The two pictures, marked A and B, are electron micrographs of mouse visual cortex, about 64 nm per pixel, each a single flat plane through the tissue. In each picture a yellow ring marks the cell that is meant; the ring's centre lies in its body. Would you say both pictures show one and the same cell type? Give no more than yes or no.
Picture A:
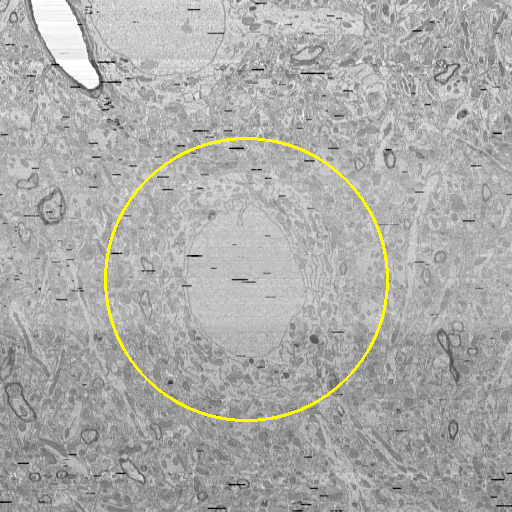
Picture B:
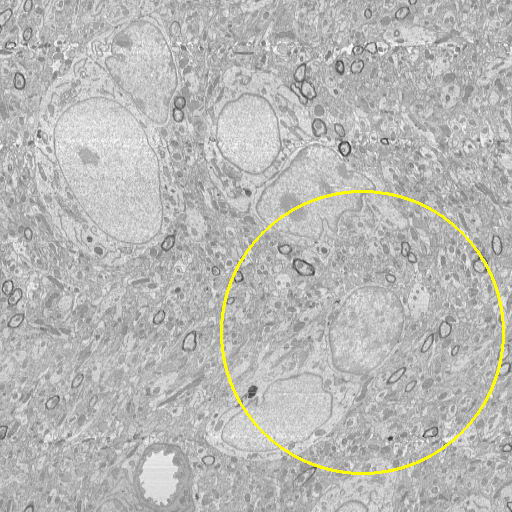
no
